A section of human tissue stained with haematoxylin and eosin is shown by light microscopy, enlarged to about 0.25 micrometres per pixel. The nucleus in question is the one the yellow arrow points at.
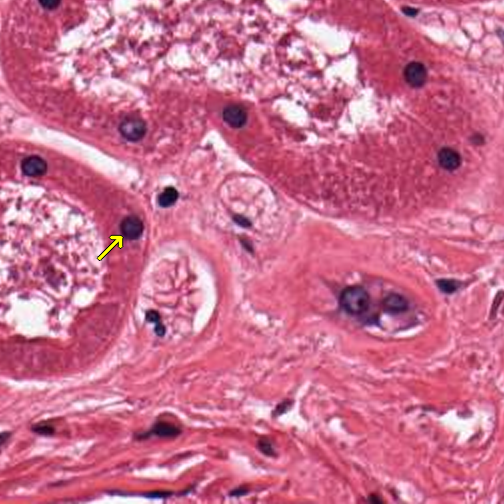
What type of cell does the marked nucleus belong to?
proximal tubule cell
